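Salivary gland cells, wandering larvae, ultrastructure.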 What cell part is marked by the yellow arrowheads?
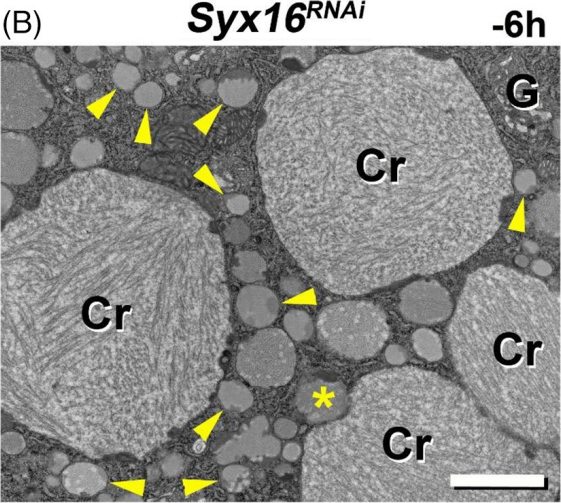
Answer: Immature glue vesicles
